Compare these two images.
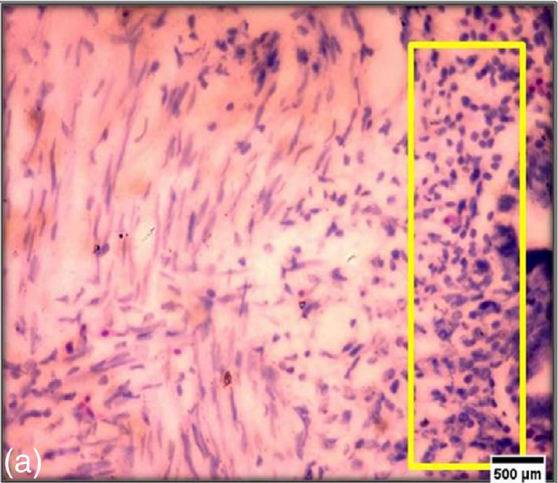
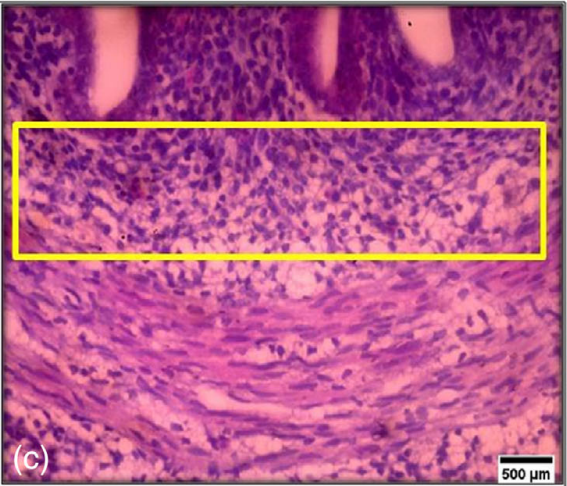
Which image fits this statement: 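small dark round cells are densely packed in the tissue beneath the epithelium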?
The second image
